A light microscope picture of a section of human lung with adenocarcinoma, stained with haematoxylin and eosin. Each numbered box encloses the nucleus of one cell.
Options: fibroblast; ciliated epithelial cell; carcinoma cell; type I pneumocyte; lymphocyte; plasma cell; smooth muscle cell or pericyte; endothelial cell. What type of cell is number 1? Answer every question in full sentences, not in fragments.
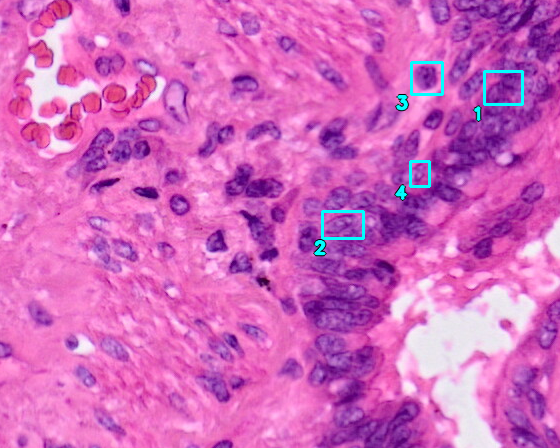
The identity of cell 1 is that of a ciliated epithelial cell.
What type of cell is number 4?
It is as a ciliated epithelial cell that the cell numbered 4 is identified.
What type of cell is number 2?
The nucleus with number 2 is that of a ciliated epithelial cell.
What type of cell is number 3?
The nucleus marked 3 is the nucleus of a lymphocyte.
